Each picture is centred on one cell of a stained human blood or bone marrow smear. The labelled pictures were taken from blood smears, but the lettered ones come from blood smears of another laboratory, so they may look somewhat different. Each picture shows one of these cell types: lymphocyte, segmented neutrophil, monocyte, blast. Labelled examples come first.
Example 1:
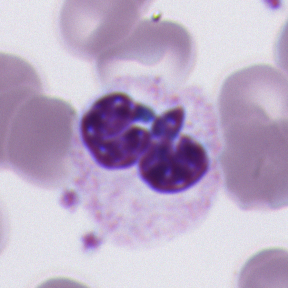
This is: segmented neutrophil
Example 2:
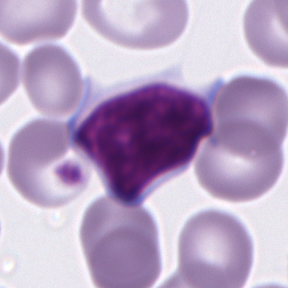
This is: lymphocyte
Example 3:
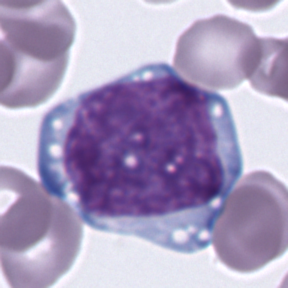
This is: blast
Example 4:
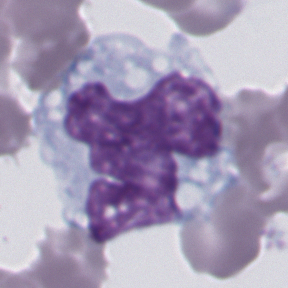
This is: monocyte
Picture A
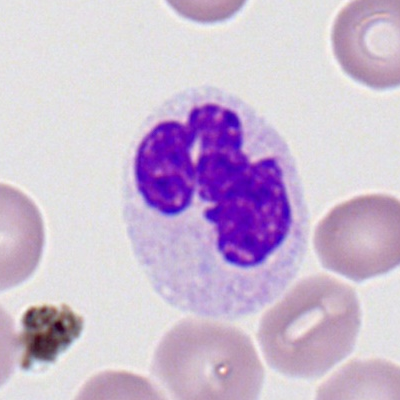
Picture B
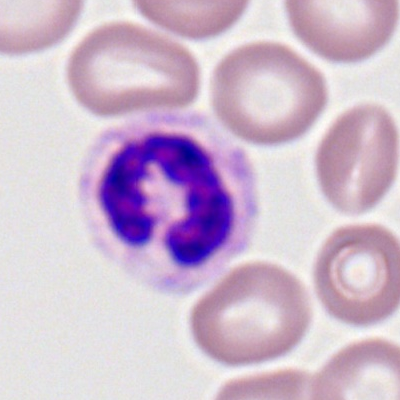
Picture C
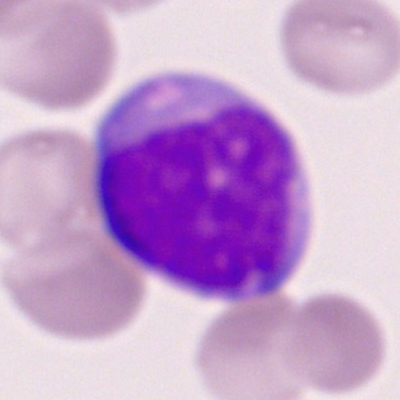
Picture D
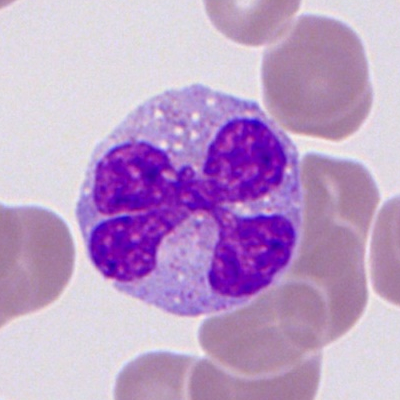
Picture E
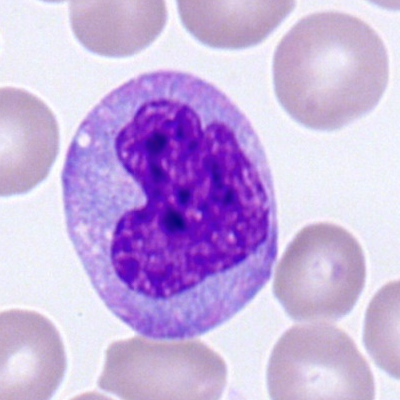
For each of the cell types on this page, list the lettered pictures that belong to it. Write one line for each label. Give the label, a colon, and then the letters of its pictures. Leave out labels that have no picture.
segmented neutrophil: A, B
monocyte: D, E
blast: C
